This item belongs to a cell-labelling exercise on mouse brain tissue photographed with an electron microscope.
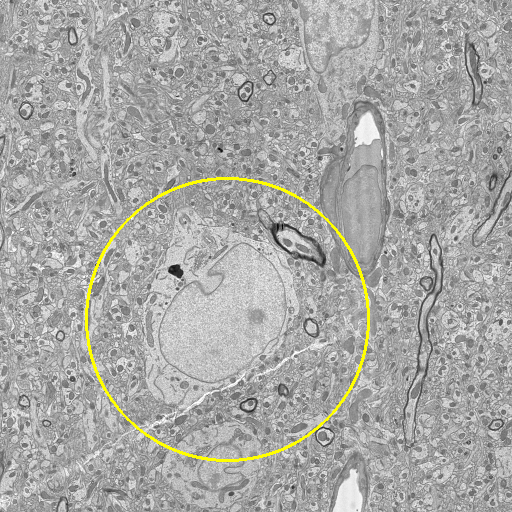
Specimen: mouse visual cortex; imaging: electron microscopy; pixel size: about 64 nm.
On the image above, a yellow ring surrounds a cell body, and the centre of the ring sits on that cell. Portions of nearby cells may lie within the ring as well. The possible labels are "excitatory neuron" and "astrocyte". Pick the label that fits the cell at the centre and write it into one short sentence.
This cell should be labelled as an excitatory neuron.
